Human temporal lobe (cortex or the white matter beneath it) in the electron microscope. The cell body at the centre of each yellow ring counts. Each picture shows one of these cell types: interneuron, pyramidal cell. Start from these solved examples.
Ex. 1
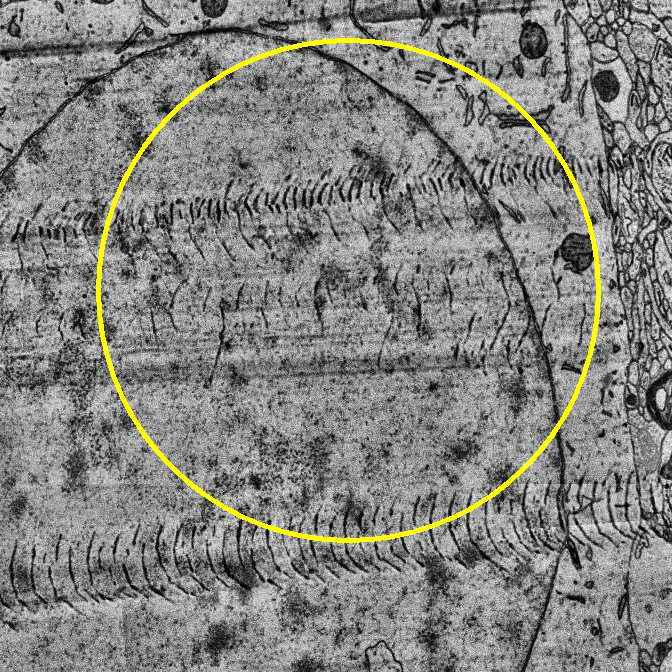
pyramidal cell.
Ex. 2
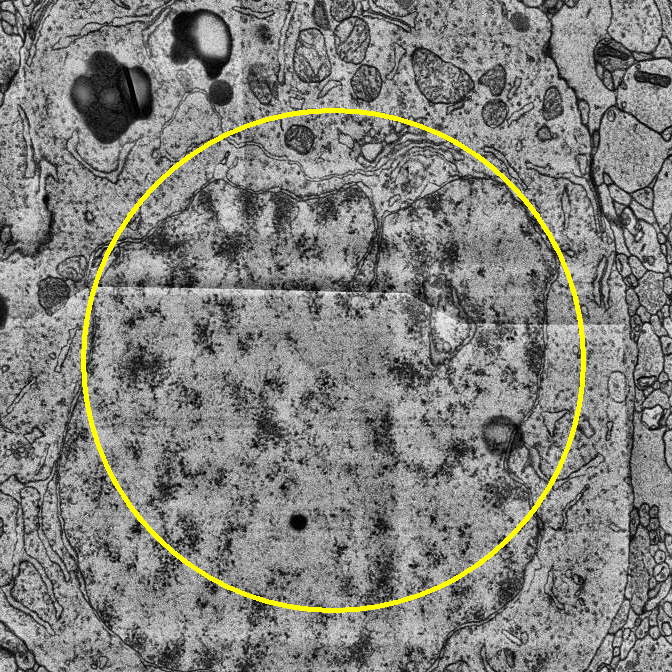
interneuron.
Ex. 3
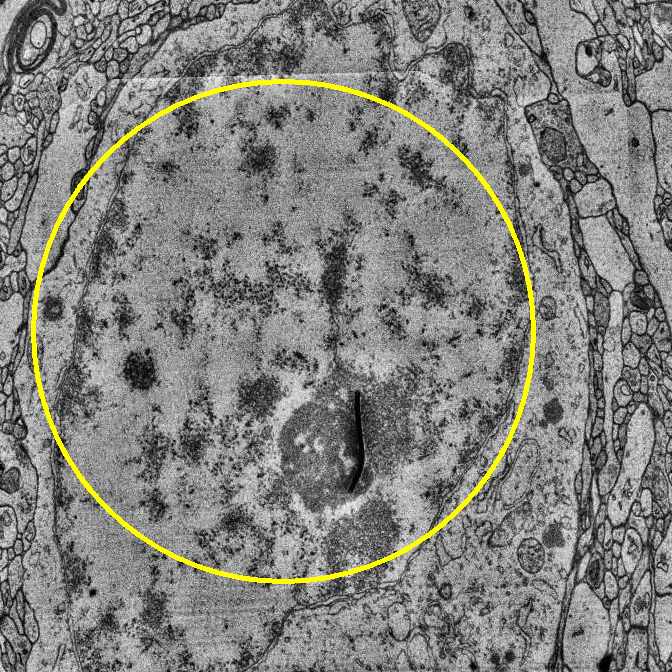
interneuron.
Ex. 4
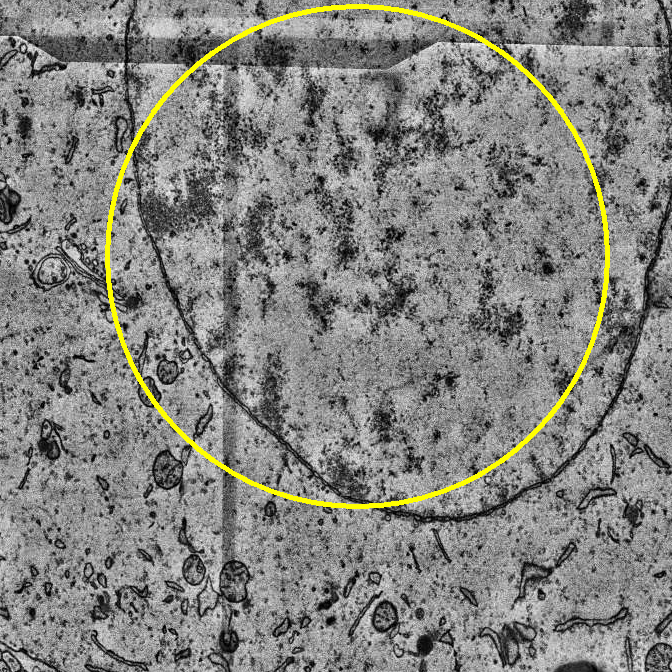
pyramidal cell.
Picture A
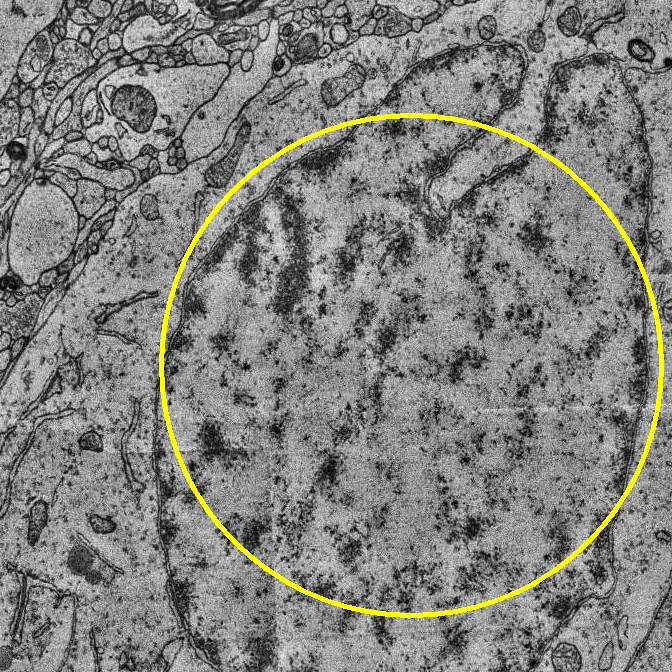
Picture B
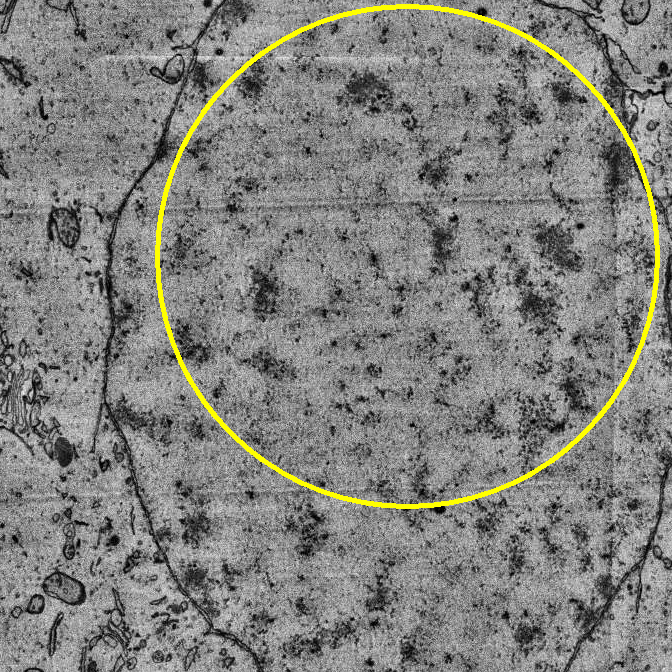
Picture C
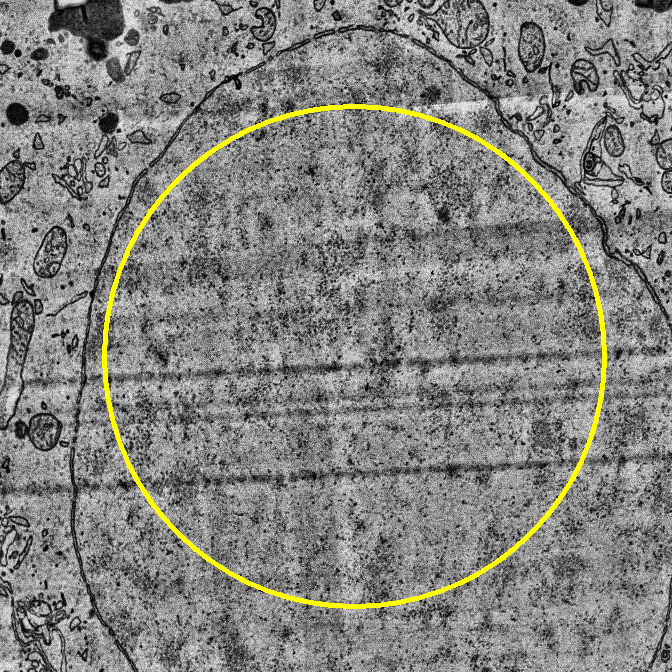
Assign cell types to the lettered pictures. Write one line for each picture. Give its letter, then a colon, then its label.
A: interneuron.
B: pyramidal cell.
C: pyramidal cell.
